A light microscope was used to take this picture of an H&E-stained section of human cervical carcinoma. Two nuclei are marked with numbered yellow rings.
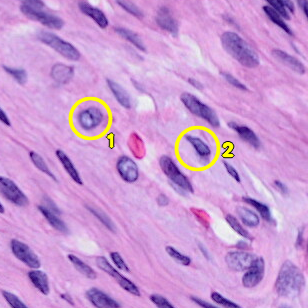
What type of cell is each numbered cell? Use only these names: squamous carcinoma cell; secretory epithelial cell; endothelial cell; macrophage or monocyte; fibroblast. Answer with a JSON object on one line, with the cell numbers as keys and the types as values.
{"1": "endothelial cell", "2": "fibroblast"}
